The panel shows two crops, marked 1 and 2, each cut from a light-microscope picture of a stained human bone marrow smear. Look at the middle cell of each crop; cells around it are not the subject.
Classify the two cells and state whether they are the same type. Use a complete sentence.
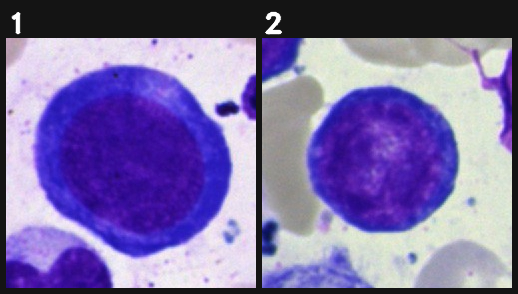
Yes, both crops do show proerythroblasts in the middle.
